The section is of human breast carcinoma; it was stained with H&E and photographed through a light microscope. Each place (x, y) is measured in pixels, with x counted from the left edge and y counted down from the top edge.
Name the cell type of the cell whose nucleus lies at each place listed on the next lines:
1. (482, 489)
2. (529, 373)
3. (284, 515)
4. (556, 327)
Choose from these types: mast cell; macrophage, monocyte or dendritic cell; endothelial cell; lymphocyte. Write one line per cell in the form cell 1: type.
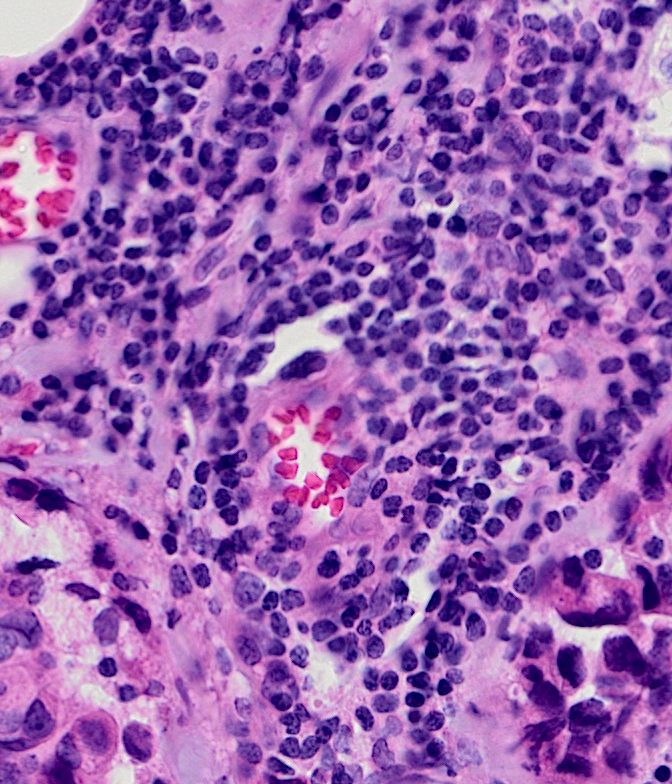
cell 1: lymphocyte
cell 2: lymphocyte
cell 3: endothelial cell
cell 4: lymphocyte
